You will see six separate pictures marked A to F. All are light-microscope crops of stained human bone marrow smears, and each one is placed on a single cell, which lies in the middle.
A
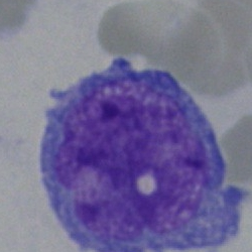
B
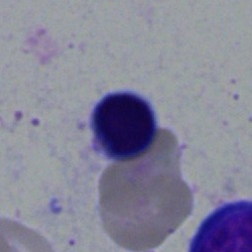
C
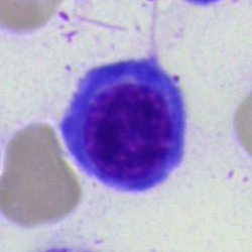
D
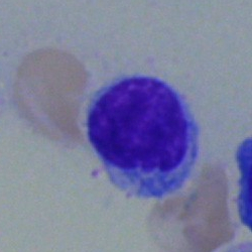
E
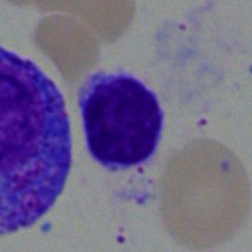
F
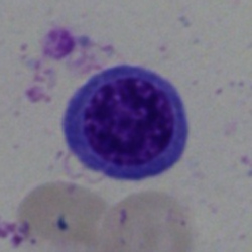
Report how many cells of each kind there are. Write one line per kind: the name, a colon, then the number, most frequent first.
normoblast: 3
lymphocyte: 2
blast: 1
